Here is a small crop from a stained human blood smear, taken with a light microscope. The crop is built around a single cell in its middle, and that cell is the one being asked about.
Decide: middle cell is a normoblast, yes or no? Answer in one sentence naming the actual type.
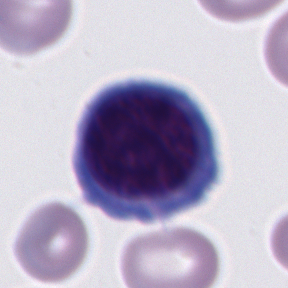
Yes, the middle cell is properly termed a normoblast.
